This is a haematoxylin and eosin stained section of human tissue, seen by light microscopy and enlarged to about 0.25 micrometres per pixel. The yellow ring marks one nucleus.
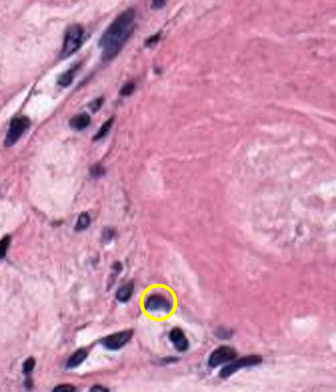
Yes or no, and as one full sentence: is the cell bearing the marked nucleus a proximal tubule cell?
No, it is not a proximal tubule cell but a supporting cell to which the marked nucleus is assigned.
